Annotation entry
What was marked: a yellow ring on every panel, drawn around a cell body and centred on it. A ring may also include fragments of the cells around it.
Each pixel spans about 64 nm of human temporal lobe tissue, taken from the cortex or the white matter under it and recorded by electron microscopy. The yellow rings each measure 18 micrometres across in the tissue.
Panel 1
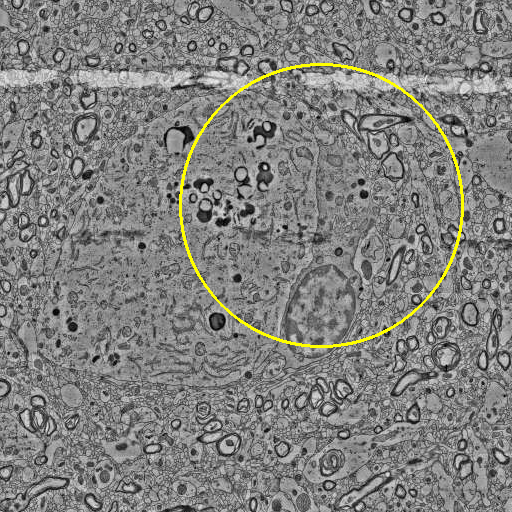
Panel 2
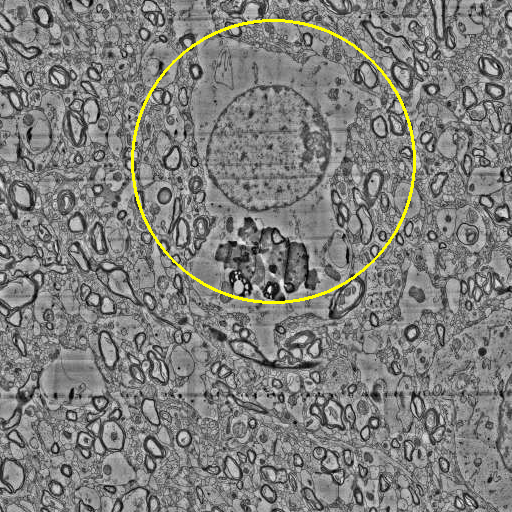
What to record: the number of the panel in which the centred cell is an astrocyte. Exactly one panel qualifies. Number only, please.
2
